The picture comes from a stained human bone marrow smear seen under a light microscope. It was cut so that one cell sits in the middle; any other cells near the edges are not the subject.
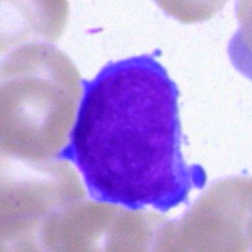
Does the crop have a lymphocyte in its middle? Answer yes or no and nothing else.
no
